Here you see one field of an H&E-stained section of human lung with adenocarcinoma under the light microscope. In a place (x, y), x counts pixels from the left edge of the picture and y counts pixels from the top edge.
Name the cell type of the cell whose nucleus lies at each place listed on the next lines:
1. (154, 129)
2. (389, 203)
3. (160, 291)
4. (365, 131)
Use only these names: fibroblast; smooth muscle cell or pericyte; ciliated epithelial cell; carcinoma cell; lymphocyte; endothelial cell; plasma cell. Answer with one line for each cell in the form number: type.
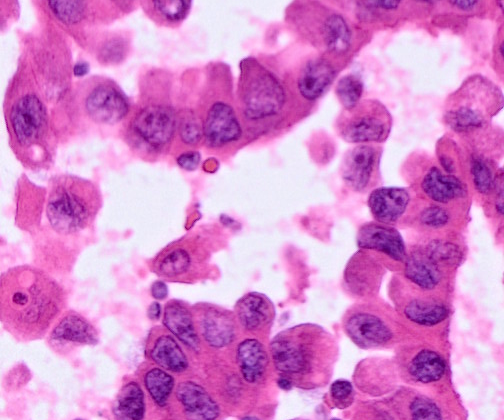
1: carcinoma cell
2: carcinoma cell
3: lymphocyte
4: carcinoma cell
